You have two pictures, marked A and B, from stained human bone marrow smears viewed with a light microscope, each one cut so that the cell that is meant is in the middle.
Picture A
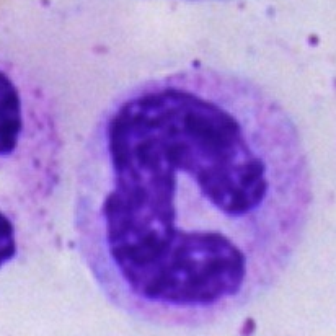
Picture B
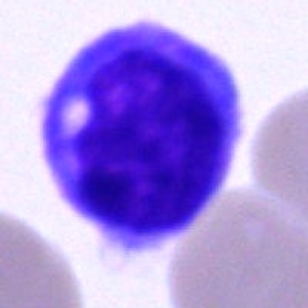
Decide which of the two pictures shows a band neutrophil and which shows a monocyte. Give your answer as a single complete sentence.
Picture B shows a monocyte, while picture A shows a band neutrophil.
